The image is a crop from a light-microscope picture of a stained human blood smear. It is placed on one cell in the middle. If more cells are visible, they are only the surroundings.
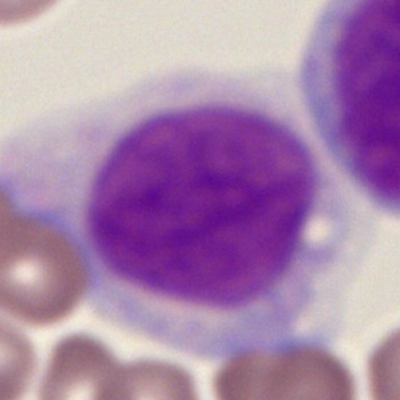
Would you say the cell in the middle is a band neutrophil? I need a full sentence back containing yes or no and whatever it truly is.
No, this cell in the middle is a monocyte, so it is not a band neutrophil.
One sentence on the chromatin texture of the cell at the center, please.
The chromatin is fine, with no coarse clumping anywhere.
